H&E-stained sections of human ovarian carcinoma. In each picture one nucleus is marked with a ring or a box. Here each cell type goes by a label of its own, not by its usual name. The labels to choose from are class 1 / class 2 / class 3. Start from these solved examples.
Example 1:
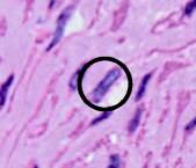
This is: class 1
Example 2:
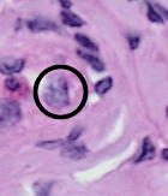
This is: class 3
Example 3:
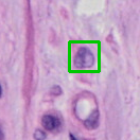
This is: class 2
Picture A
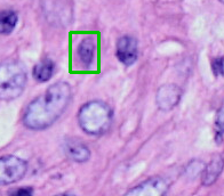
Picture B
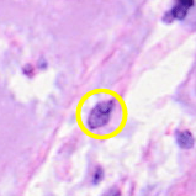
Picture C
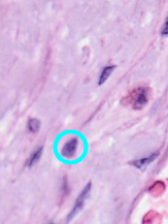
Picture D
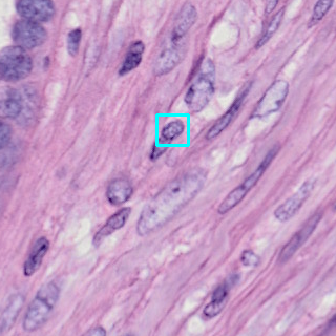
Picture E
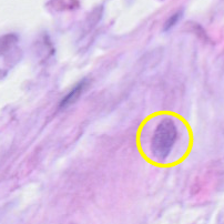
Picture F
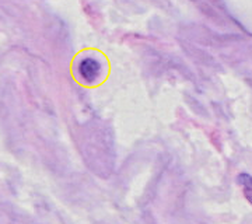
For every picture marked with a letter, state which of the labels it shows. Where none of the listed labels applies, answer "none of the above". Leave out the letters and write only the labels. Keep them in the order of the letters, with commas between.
class 2, class 2, none of the above, class 2, class 1, none of the above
